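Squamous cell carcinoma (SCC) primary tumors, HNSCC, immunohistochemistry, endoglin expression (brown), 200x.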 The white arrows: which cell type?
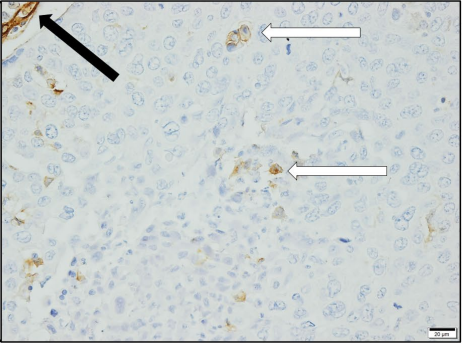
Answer: Epithelial.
